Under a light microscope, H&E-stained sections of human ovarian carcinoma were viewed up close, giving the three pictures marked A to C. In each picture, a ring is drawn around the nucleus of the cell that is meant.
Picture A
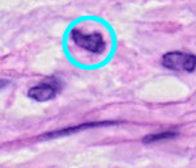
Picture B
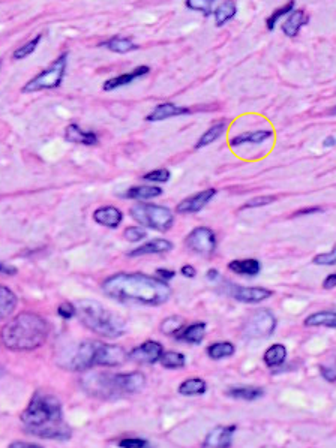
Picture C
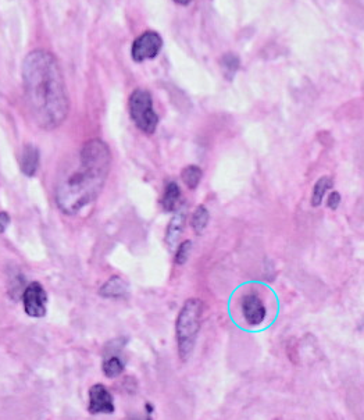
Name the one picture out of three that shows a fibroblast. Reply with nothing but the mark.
B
